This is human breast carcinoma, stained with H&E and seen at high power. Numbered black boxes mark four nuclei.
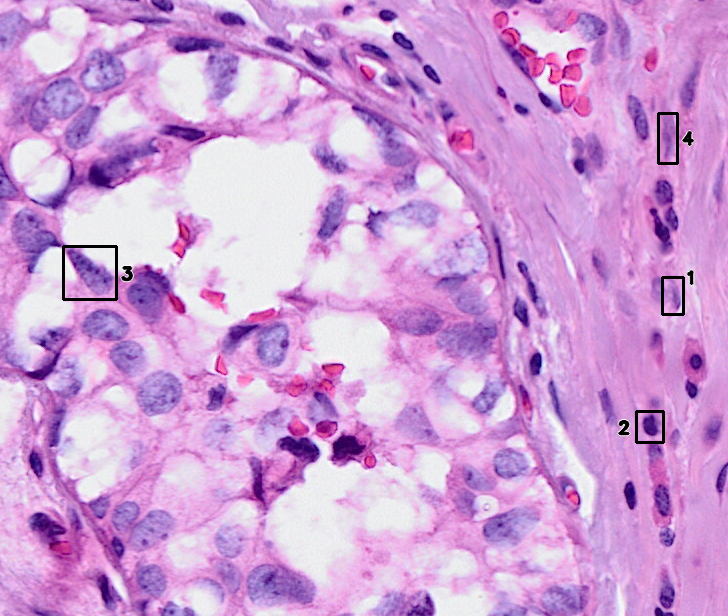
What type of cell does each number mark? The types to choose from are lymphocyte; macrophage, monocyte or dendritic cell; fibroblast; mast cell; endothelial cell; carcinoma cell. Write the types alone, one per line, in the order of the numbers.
fibroblast
lymphocyte
carcinoma cell
fibroblast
